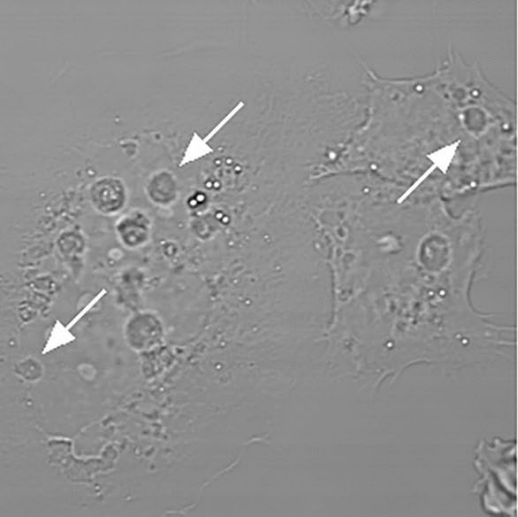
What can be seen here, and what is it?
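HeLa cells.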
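Here we see flat, spread cultured cells in transmitted light, with their thin edges faintly outlined against the grey background. Inside the cytoplasm lie a number of round compartments, several micrometres across, each with a crisp rim and a finely granular interior; the arrows point to some of them. Toward the lower left the cell margin shows a scalloped, irregular outline.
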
